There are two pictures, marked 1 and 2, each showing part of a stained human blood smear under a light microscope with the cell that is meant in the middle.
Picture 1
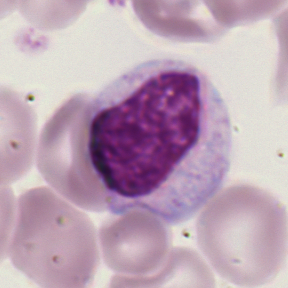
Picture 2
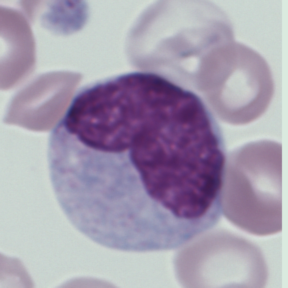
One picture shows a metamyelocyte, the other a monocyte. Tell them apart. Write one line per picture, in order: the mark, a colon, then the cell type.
1: metamyelocyte
2: monocyte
